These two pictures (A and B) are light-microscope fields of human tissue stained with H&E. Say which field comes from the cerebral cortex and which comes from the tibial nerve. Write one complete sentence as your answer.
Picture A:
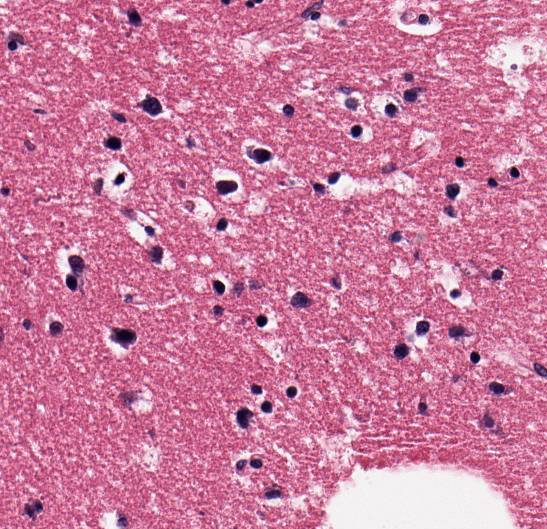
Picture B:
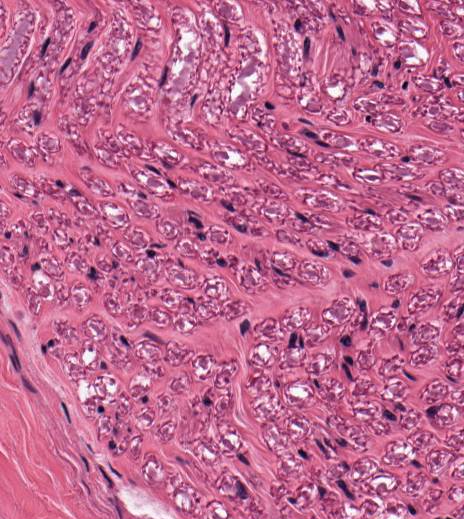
Picture A comes from the cerebral cortex; picture B comes from the tibial nerve.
